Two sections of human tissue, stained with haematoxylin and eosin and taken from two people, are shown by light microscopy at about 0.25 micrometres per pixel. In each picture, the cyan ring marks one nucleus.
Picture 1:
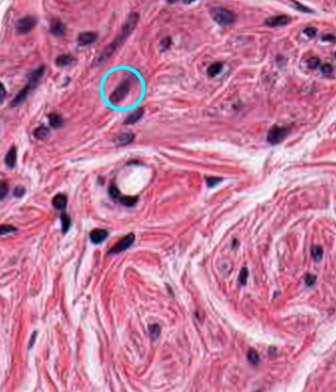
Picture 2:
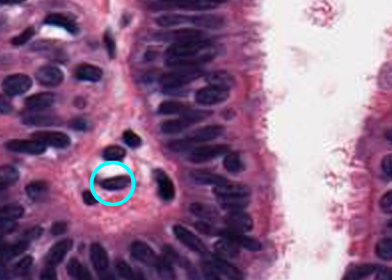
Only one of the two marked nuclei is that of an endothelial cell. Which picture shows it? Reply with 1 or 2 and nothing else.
2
